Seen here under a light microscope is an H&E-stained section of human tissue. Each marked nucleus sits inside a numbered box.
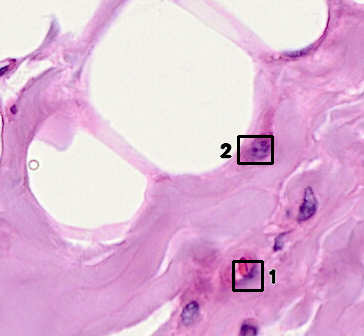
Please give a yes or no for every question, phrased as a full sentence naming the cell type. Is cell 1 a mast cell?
No, for cell 1, the correct identification is an endothelial cell instead of a mast cell.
